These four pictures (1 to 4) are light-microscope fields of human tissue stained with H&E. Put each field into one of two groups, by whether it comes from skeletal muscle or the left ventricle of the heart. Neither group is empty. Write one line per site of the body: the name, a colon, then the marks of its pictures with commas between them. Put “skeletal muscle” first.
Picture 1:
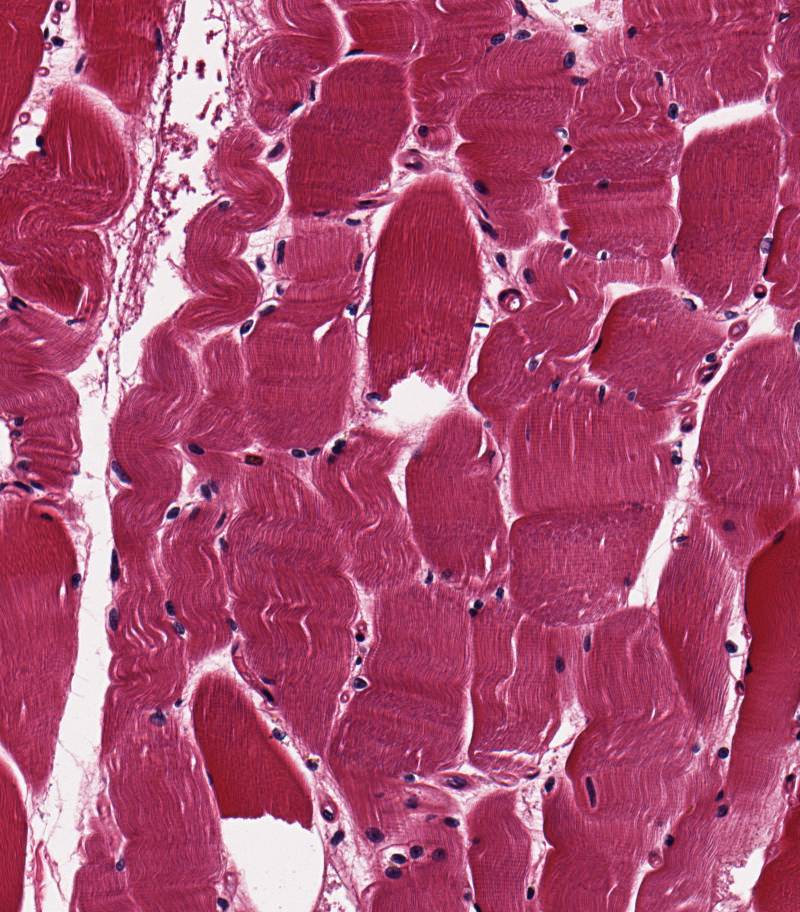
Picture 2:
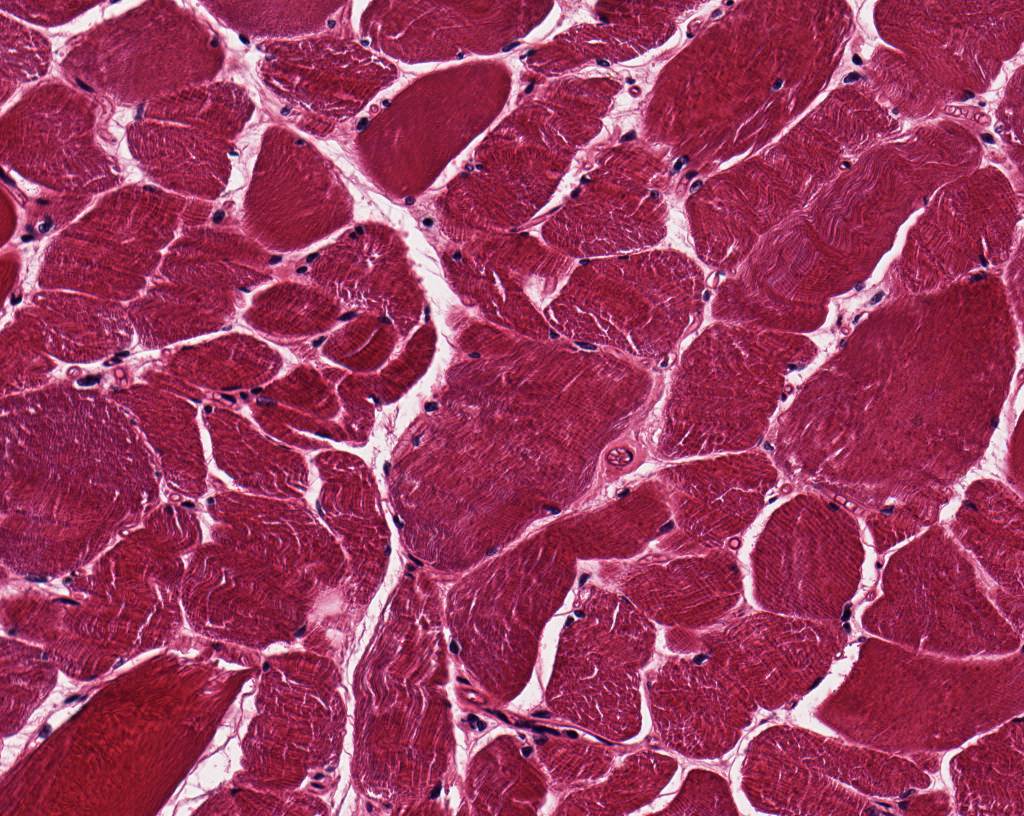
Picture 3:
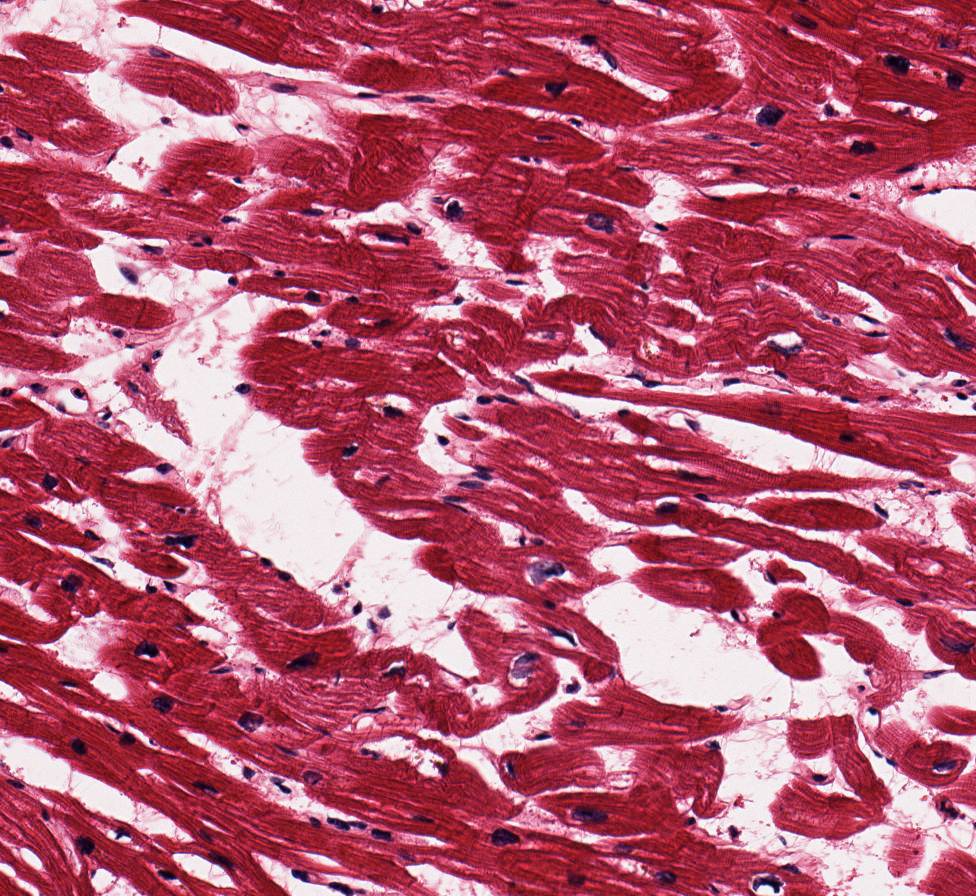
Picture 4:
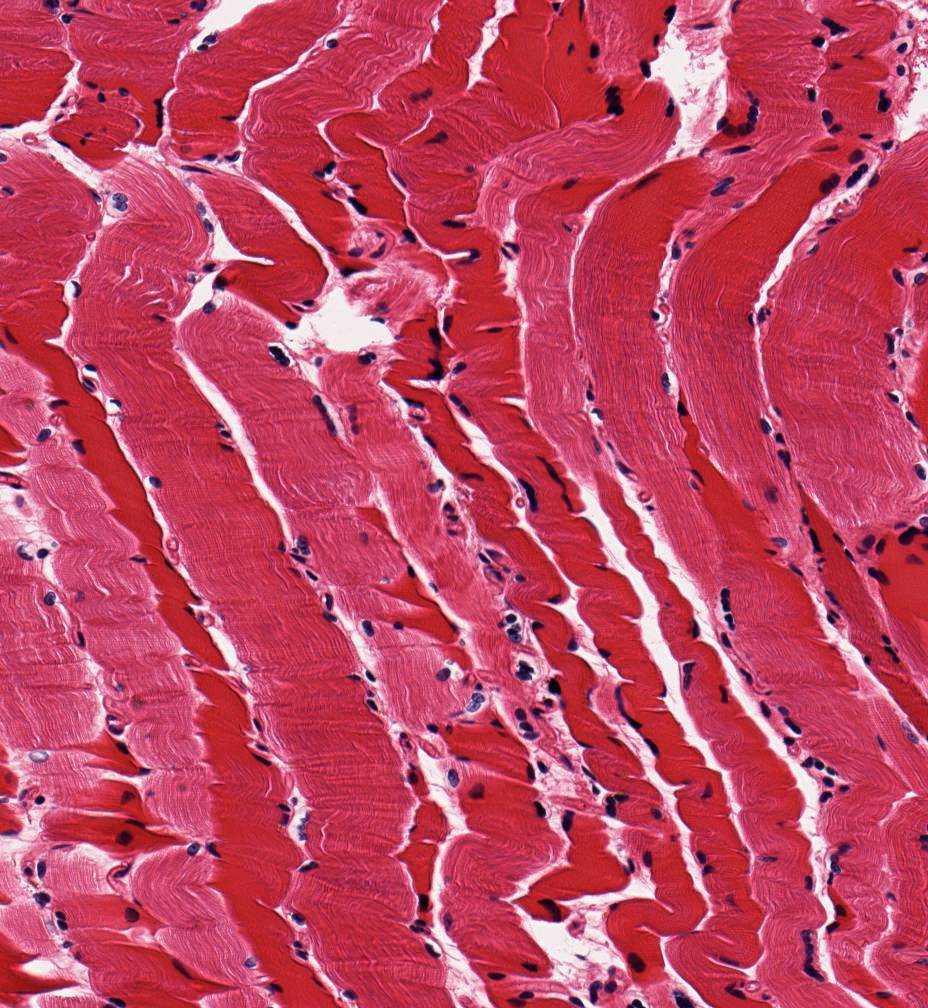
skeletal muscle: 1, 2, 4
left ventricle of the heart: 3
